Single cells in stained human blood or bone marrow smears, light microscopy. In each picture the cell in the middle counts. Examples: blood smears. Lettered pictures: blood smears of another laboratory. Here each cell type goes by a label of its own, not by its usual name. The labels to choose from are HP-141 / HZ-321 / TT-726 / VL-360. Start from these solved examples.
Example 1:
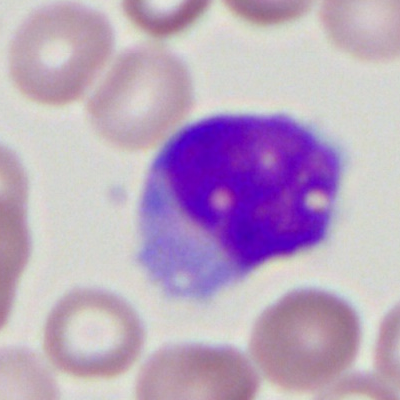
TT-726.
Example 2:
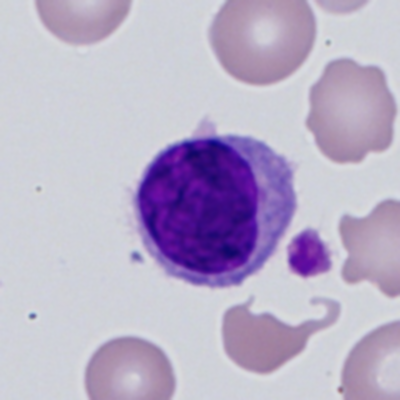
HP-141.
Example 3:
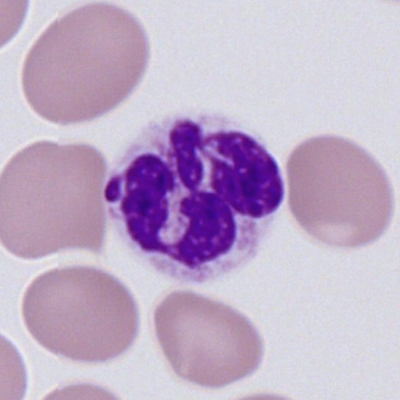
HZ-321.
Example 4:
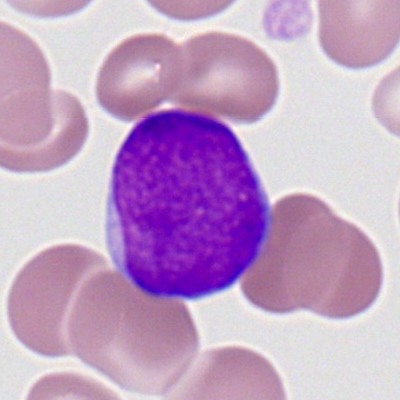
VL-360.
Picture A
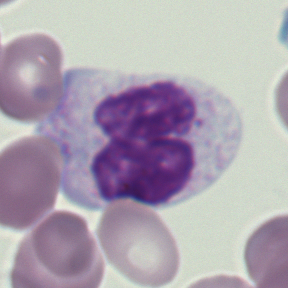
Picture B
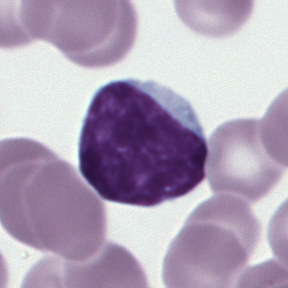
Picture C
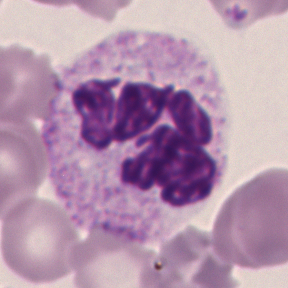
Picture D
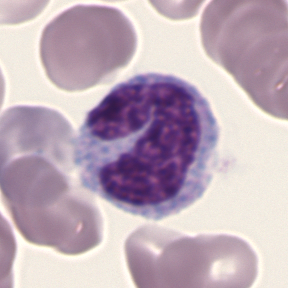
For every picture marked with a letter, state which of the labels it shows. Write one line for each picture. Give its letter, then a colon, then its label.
A: HZ-321.
B: HP-141.
C: HZ-321.
D: TT-726.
